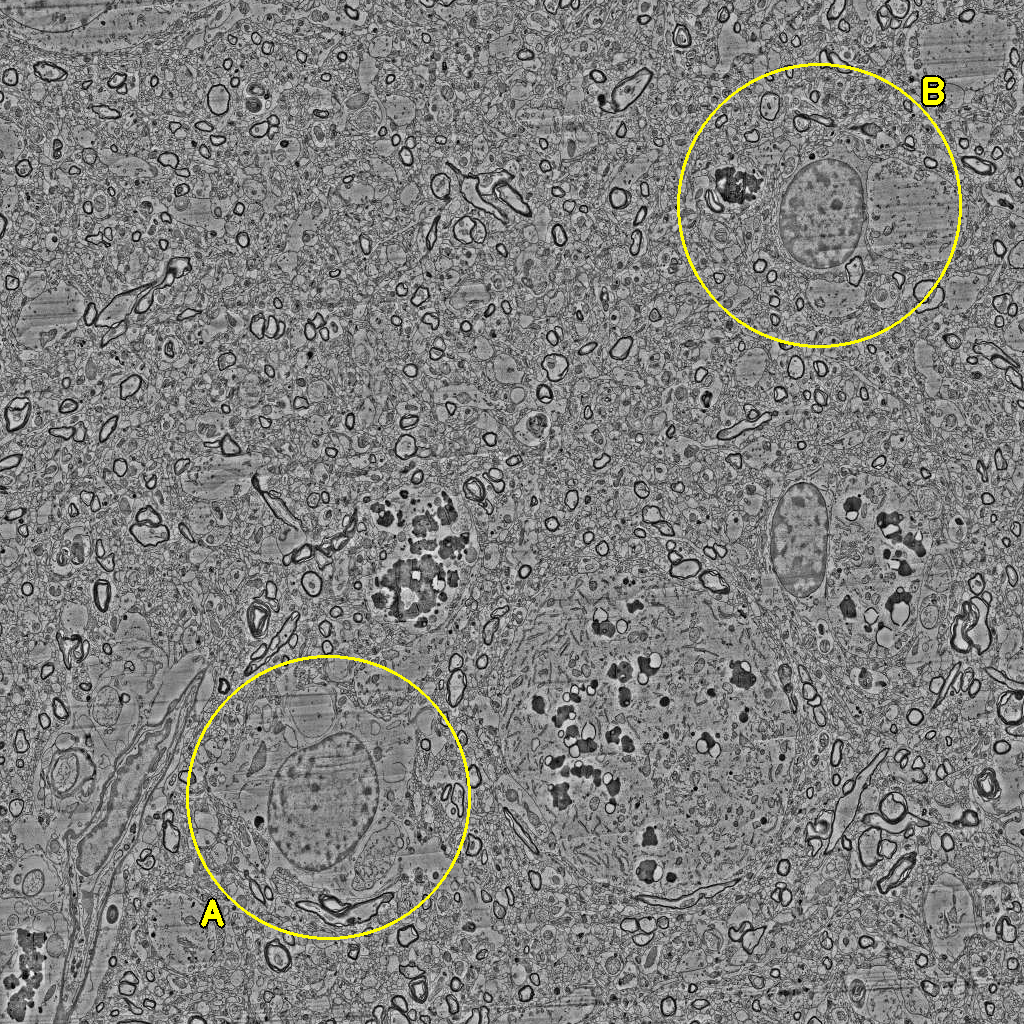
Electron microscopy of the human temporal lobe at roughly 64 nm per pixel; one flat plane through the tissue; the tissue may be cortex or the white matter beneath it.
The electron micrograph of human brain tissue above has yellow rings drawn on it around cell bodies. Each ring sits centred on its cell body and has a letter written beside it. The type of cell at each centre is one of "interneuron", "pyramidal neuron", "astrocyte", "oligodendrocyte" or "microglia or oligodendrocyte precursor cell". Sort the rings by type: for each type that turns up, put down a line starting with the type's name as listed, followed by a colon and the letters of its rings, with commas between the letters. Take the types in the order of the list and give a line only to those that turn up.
astrocyte: A
oligodendrocyte: B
